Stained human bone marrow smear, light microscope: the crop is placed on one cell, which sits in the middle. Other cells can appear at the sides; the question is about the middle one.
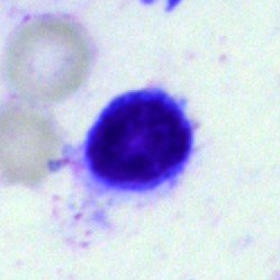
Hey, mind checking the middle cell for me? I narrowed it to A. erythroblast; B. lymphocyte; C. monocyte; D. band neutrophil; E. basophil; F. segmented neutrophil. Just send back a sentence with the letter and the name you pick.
The one cell at the centre is a lymphocyte, as correctly stated in option B.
